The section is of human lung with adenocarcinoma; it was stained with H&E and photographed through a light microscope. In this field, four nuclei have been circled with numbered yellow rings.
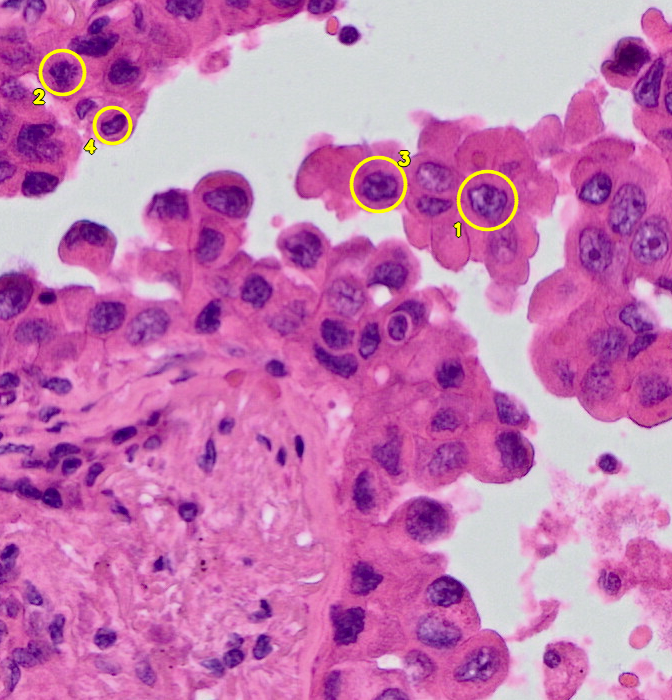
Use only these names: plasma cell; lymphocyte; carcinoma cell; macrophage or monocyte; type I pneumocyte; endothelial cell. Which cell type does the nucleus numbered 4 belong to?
macrophage or monocyte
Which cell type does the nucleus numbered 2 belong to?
carcinoma cell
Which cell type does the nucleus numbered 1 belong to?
carcinoma cell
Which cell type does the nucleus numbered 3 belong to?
carcinoma cell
